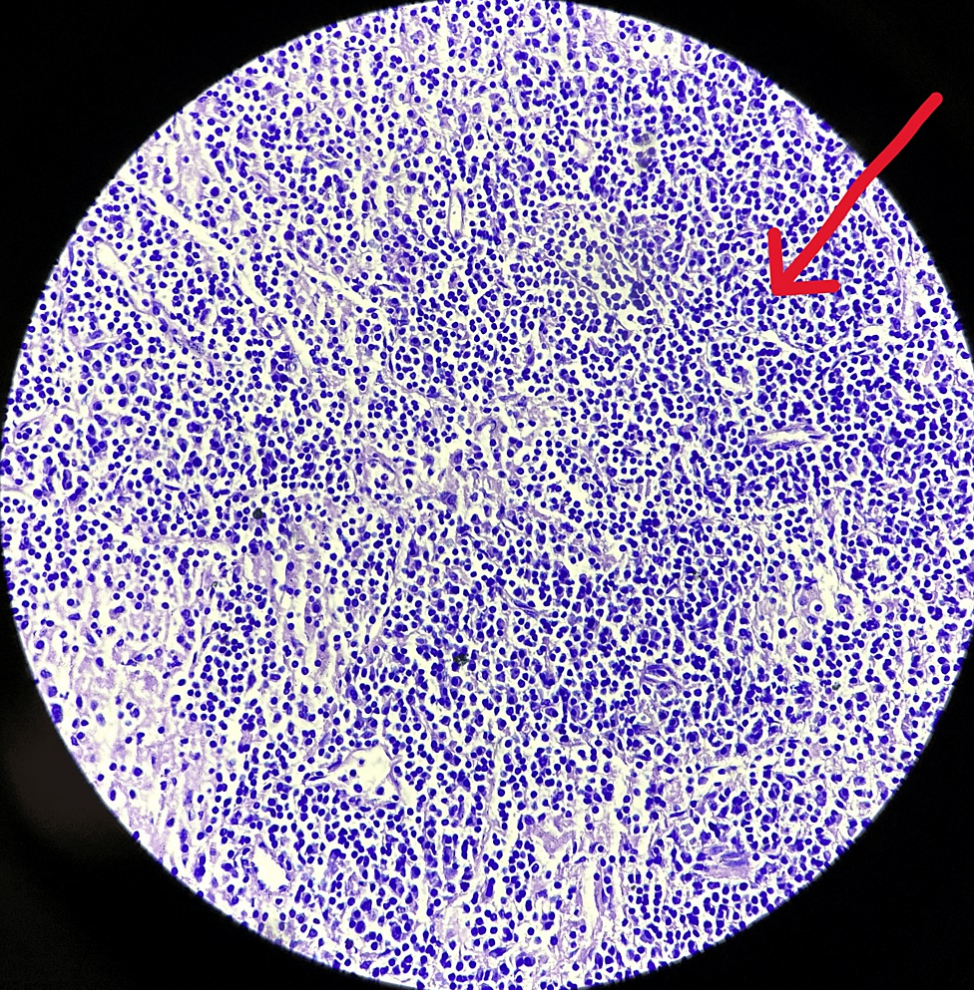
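This low-power field is filled with a dense sheet of small, round, dark purple nuclei. Most are about the size of small lymphocytes, with little visible cytoplasm, and they are packed closely together. Running between them are pale, lilac, wispy strands of delicate stroma and thin-walled spaces. These strands divide the cellular sheet into irregular cords and clusters. Here and there a slightly larger, paler nucleus sits among the small dark ones. At this magnification, individual large cells and their nucleoli cannot be judged with certainty. The overall impression is a crowded, mixed cellular background within a fine fibrous framework.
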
